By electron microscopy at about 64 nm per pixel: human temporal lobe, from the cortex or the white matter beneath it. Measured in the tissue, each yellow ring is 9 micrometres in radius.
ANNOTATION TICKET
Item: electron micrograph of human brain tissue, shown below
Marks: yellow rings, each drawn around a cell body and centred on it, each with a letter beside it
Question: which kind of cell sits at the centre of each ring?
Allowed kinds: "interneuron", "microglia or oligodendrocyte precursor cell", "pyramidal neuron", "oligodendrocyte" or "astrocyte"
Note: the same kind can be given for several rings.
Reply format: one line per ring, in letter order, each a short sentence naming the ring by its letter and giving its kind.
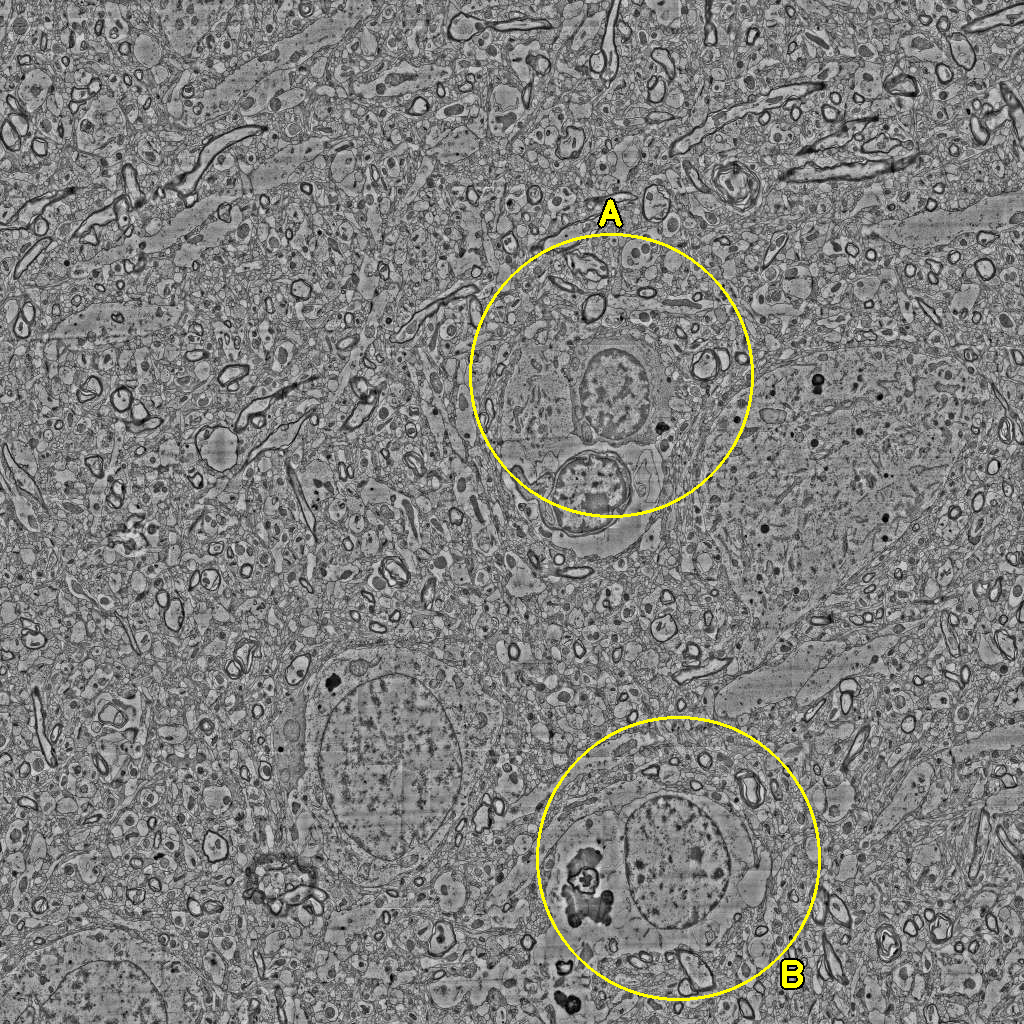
The cell at the centre of ring A is an oligodendrocyte.
The cell at the centre of ring B is an astrocyte.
